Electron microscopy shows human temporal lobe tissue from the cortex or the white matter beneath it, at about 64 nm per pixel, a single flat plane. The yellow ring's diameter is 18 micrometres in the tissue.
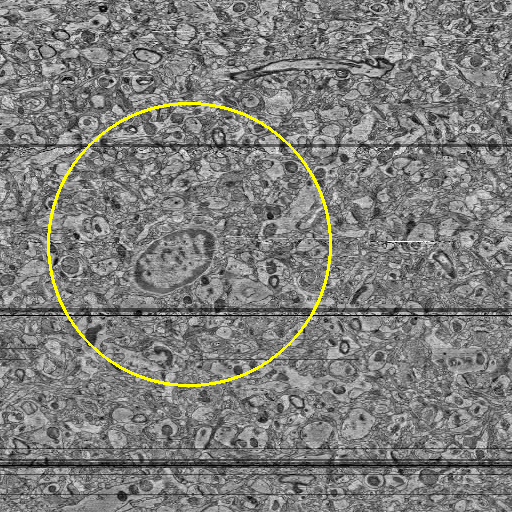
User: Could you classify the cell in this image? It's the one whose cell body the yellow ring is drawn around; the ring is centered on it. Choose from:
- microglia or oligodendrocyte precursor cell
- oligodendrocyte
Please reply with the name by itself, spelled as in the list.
microglia or oligodendrocyte precursor cell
